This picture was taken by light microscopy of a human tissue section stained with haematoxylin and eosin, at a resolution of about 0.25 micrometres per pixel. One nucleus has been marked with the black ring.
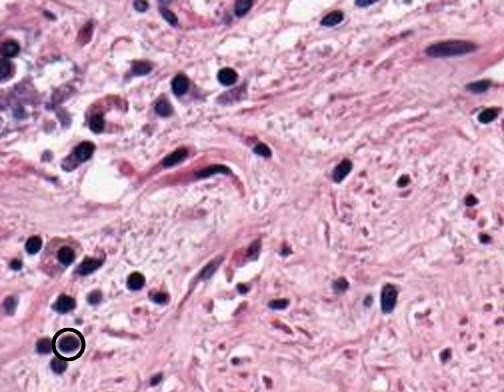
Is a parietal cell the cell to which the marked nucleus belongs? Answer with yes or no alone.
no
